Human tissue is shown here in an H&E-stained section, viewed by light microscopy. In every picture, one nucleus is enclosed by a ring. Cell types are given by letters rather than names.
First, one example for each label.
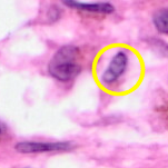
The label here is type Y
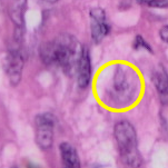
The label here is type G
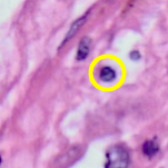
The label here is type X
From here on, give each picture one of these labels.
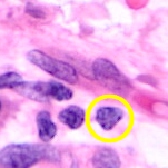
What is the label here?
type X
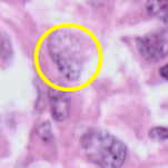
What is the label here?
type G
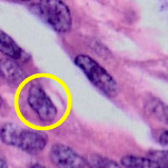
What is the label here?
type G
